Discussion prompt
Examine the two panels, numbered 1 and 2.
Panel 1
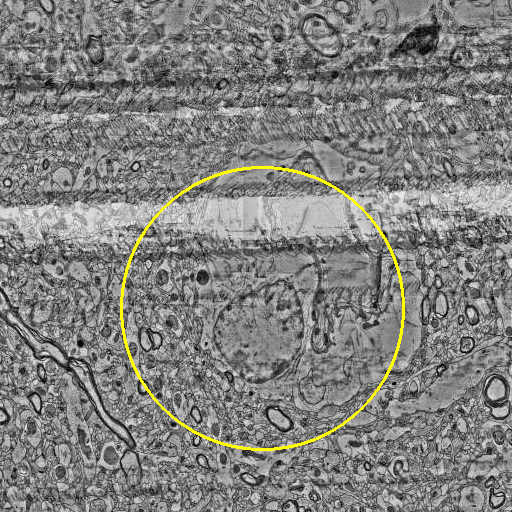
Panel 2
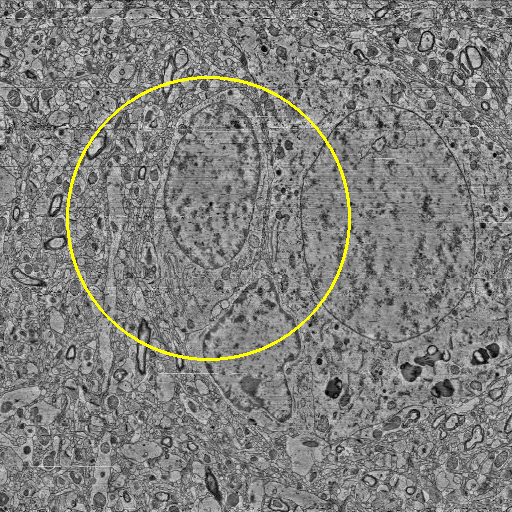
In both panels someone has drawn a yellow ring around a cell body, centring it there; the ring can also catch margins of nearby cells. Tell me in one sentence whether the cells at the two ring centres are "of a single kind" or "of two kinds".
Taken together, the two cells centred in the rings of Panels 1 and 2 are of a single kind.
